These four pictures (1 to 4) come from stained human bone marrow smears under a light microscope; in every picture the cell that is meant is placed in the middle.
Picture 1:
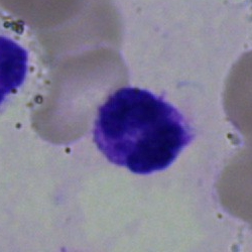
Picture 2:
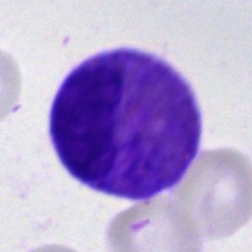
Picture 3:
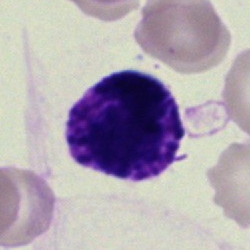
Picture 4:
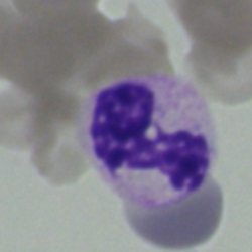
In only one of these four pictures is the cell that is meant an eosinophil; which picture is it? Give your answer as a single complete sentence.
It is picture 2 that shows the eosinophil.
